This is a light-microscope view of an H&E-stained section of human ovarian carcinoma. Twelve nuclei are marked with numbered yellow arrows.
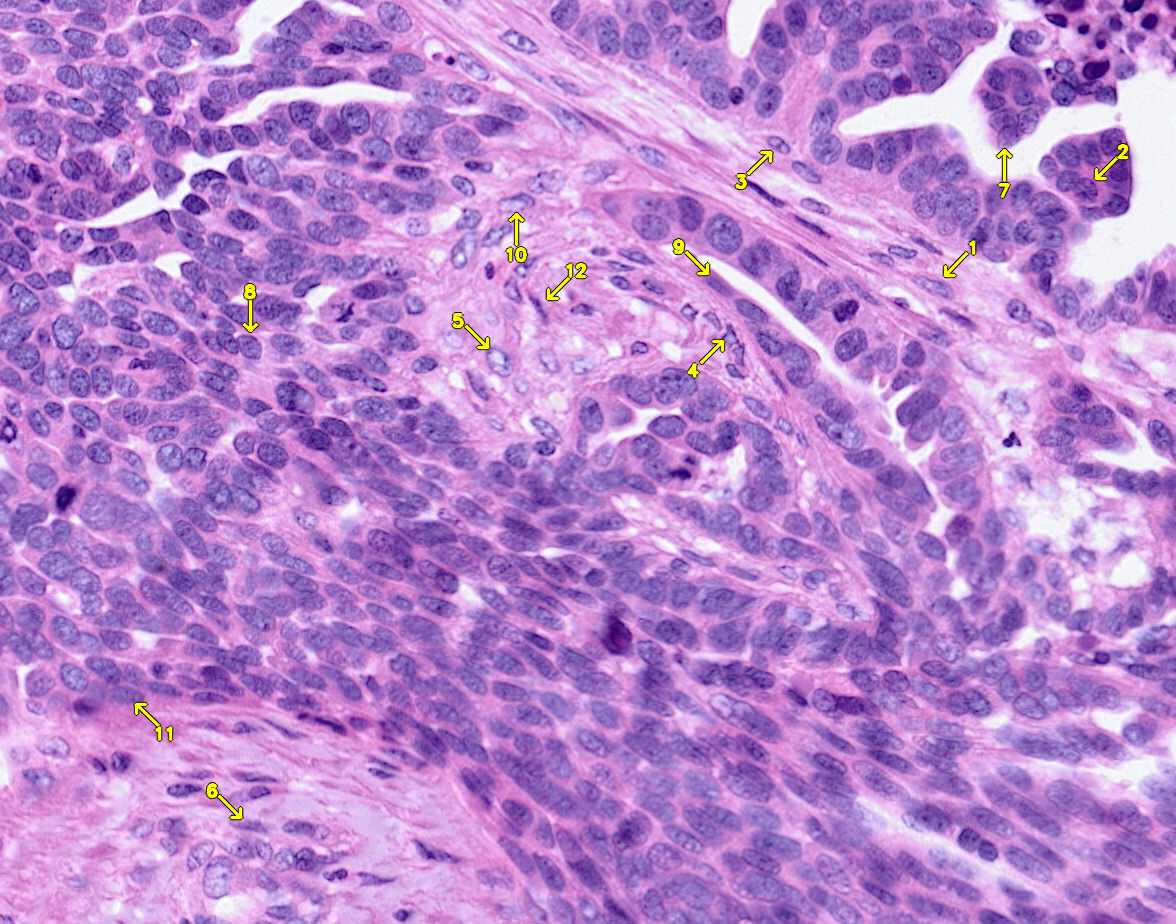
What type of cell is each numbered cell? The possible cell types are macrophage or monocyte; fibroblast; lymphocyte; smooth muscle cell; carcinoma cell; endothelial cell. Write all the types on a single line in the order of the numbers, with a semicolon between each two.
fibroblast; carcinoma cell; fibroblast; fibroblast; fibroblast; fibroblast; carcinoma cell; carcinoma cell; carcinoma cell; fibroblast; carcinoma cell; fibroblast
